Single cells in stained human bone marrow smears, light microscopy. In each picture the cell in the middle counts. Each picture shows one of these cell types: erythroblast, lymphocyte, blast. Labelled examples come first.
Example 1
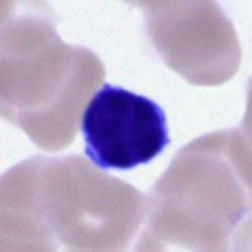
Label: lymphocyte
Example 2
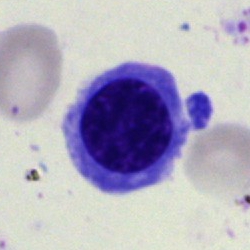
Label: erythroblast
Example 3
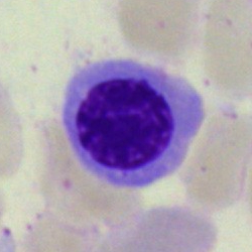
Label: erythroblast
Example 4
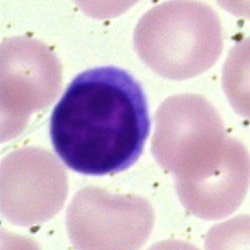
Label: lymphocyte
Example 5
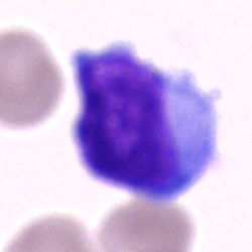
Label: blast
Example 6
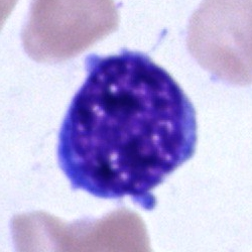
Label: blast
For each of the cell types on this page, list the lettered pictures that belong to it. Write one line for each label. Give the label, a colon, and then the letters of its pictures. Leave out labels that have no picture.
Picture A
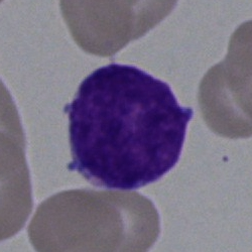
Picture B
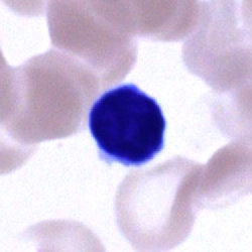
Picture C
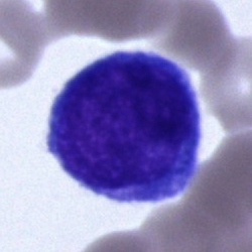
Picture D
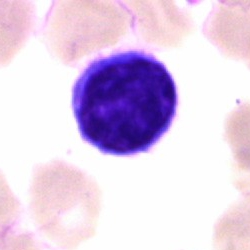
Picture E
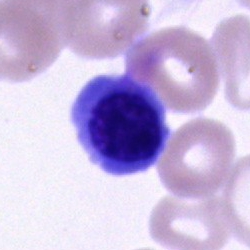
erythroblast: E
lymphocyte: B, D
blast: A, C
